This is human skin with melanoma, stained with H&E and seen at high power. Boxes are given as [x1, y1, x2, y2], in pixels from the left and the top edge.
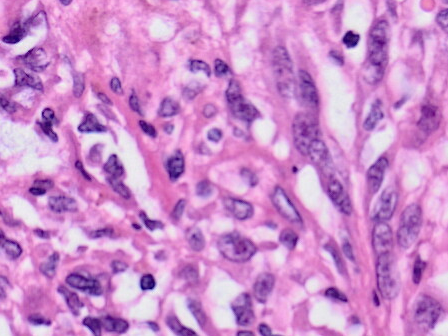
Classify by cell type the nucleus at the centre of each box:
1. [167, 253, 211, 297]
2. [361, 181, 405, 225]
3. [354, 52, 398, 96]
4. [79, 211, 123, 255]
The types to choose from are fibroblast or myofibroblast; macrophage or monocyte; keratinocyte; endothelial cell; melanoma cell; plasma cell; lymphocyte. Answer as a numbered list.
1. melanoma cell
2. melanoma cell
3. melanoma cell
4. fibroblast or myofibroblast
